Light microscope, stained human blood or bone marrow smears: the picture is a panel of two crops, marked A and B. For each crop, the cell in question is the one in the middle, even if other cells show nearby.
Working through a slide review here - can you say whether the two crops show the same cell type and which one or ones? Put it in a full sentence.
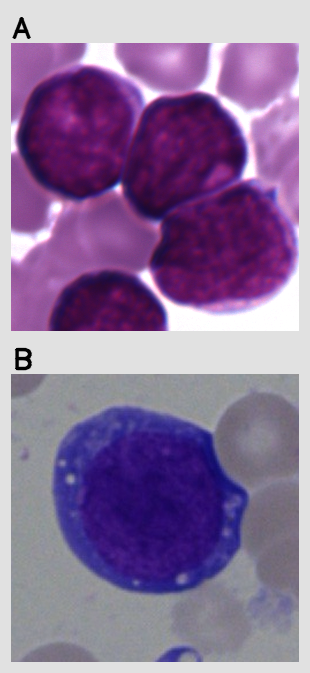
Yes, the two central cells, one per crop, are blasts.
